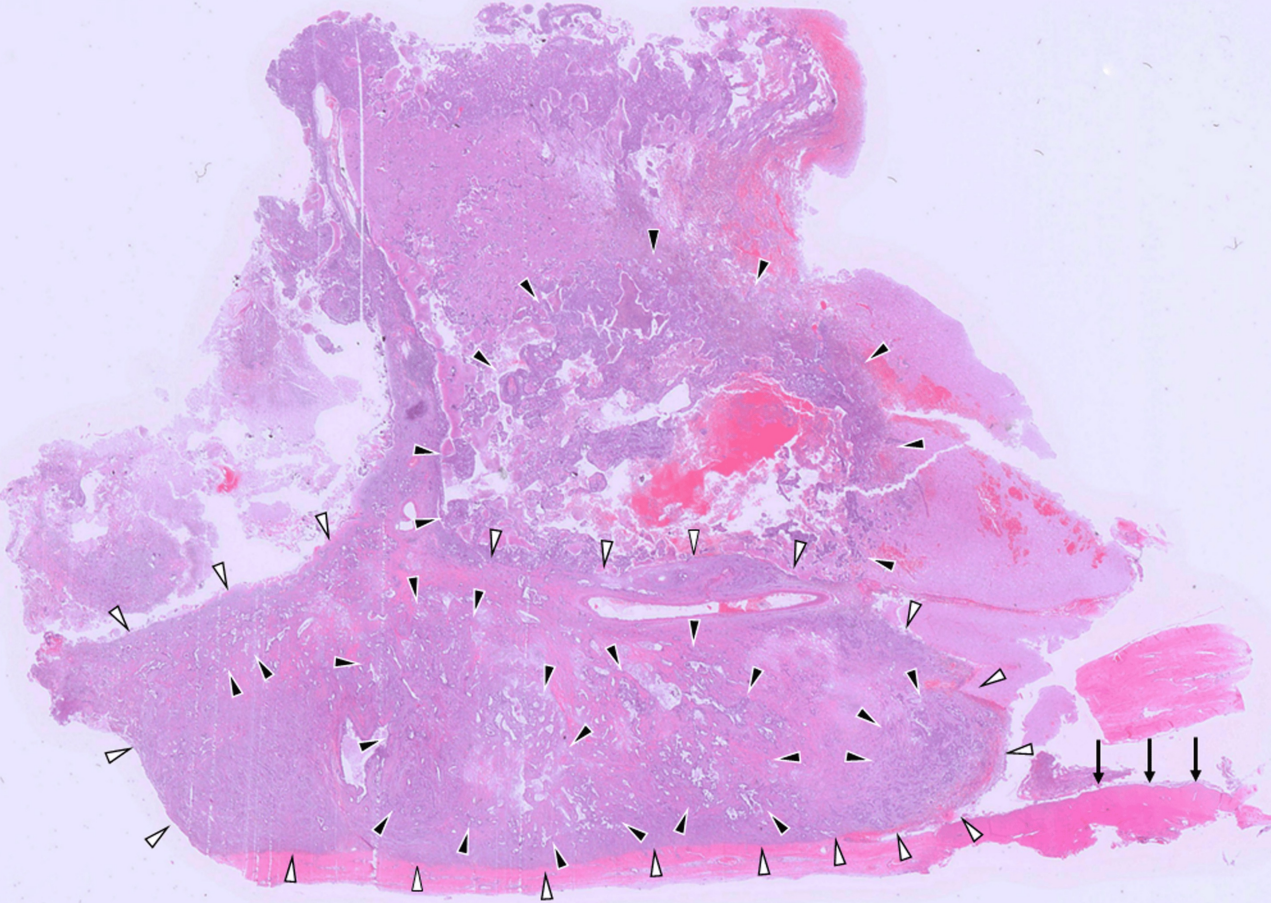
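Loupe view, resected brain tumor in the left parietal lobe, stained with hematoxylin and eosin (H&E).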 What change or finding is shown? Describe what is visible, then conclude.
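Bright red pools of blood lie in the upper middle and upper right of the section. These red areas sit within fragmented tumor tissue.
Hence: hemorrhage.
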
